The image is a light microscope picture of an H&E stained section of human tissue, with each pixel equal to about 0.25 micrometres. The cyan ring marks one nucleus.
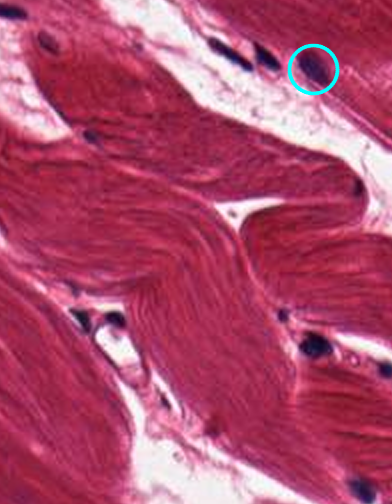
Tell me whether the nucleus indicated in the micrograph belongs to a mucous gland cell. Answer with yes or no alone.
no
